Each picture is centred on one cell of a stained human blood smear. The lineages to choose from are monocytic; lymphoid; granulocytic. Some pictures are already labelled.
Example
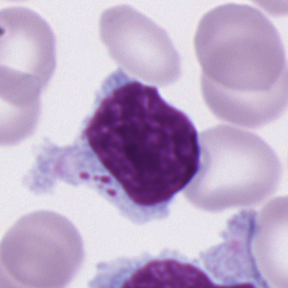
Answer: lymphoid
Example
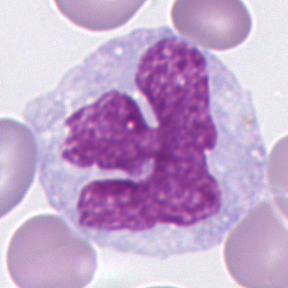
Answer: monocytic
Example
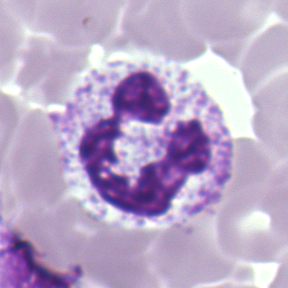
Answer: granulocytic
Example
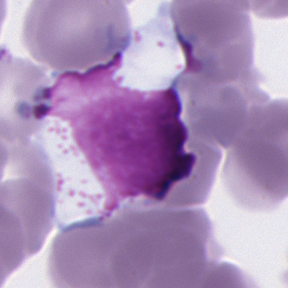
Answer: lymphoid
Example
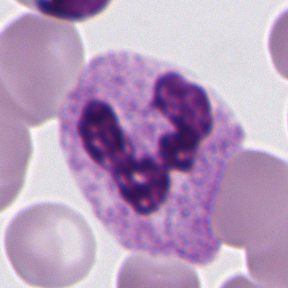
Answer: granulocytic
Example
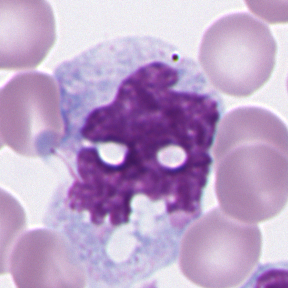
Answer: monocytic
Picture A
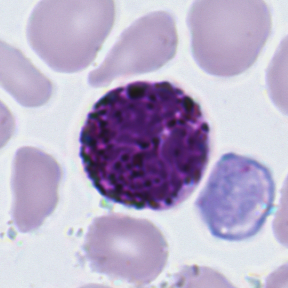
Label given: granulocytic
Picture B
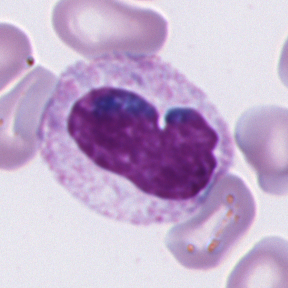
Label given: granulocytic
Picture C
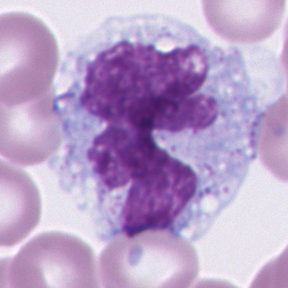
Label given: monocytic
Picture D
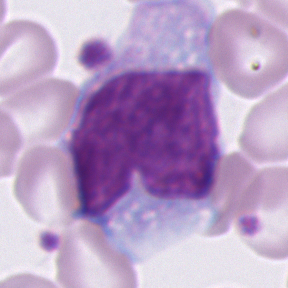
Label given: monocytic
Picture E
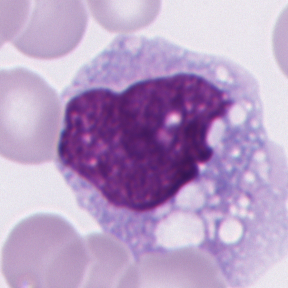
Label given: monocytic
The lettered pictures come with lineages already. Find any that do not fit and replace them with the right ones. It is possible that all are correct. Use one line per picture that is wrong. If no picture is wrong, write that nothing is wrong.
All labels are correct.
